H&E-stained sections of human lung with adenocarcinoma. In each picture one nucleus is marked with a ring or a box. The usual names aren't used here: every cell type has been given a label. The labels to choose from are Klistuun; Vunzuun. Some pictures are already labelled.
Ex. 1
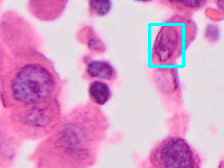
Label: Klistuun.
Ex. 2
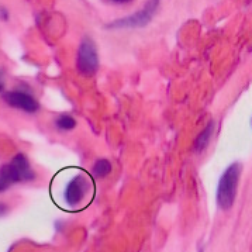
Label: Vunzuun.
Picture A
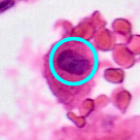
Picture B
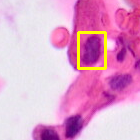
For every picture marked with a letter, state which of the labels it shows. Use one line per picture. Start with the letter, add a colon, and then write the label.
A: Klistuun.
B: Klistuun.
